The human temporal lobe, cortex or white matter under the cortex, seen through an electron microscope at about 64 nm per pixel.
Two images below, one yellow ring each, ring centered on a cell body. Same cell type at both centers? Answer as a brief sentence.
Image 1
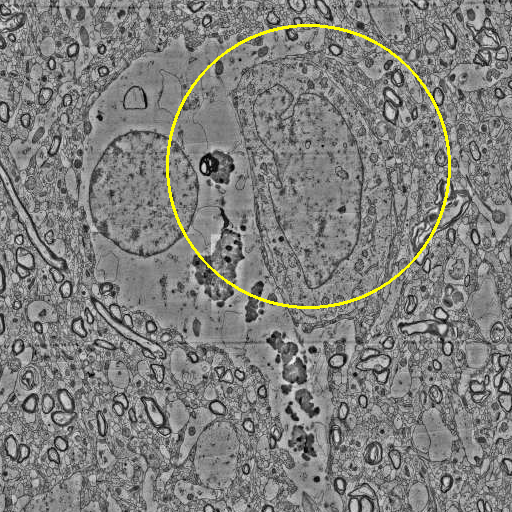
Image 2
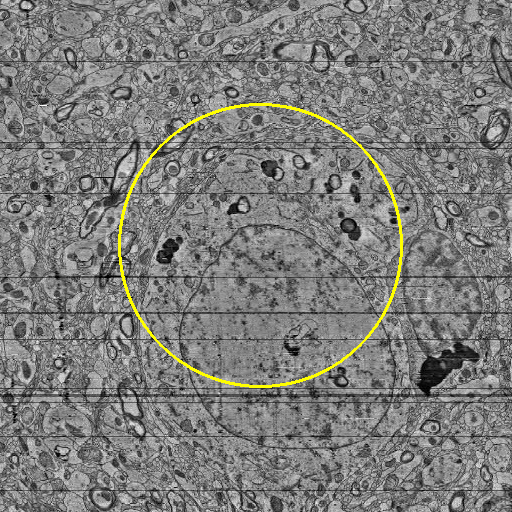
Yes, both cells are of the same type.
